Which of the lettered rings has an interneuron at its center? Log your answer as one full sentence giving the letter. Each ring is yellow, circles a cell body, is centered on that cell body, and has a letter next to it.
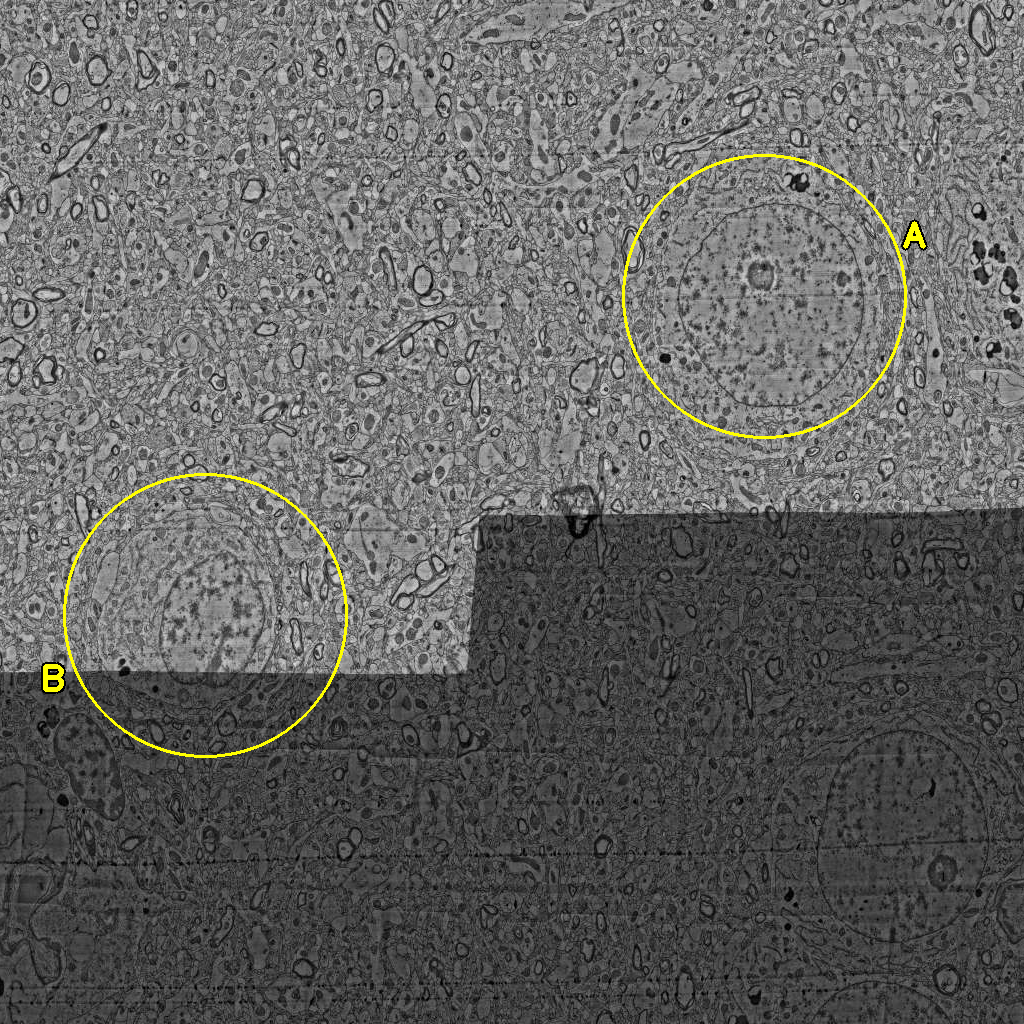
The lettered ring centered on the cell asked for is ring B.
